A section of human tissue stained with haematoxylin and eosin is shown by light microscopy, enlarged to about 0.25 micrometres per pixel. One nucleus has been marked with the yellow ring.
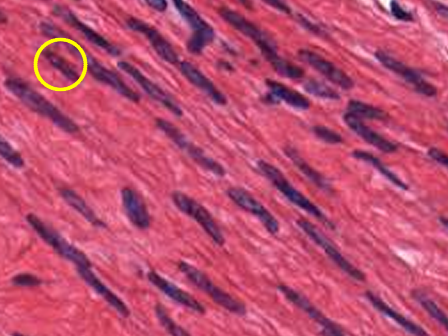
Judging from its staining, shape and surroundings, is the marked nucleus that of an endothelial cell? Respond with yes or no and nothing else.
no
